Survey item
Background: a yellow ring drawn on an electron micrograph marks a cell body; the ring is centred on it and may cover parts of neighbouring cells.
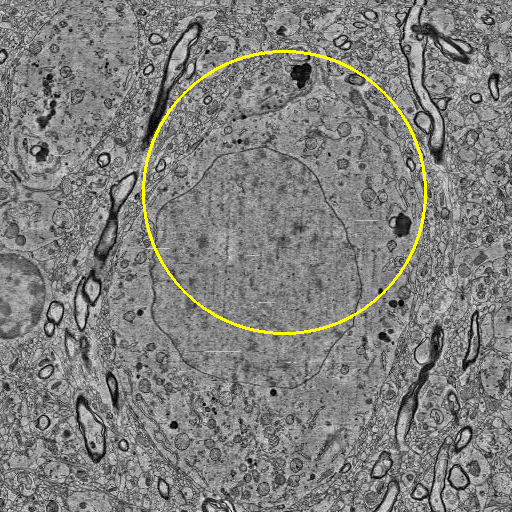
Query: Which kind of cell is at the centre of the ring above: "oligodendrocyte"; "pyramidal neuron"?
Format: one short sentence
The cell in the middle of the ring is a pyramidal neuron.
